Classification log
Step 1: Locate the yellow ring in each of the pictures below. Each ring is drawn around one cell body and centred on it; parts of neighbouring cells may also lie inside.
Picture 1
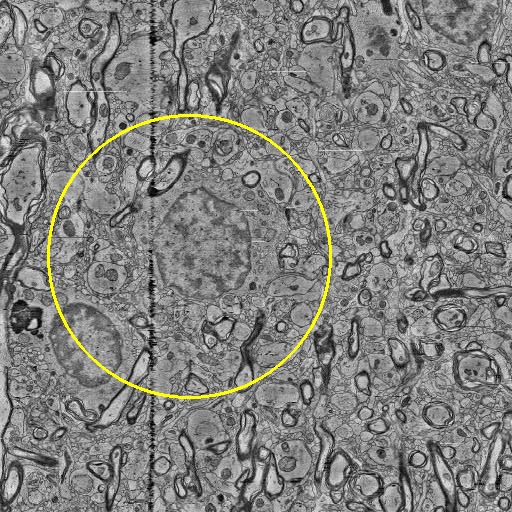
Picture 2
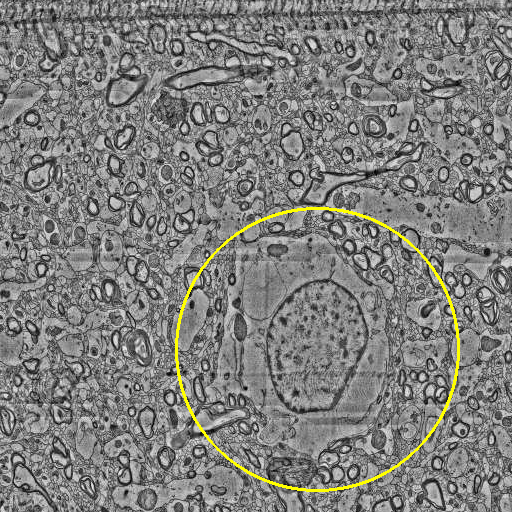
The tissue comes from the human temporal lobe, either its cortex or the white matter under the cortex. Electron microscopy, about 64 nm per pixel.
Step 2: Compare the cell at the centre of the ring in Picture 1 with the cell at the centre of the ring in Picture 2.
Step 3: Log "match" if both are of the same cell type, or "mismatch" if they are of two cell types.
mismatch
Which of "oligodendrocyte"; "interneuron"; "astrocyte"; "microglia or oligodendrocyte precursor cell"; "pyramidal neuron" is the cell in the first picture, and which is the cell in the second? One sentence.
The two differ: the first cell is an oligodendrocyte and the second is an astrocyte.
